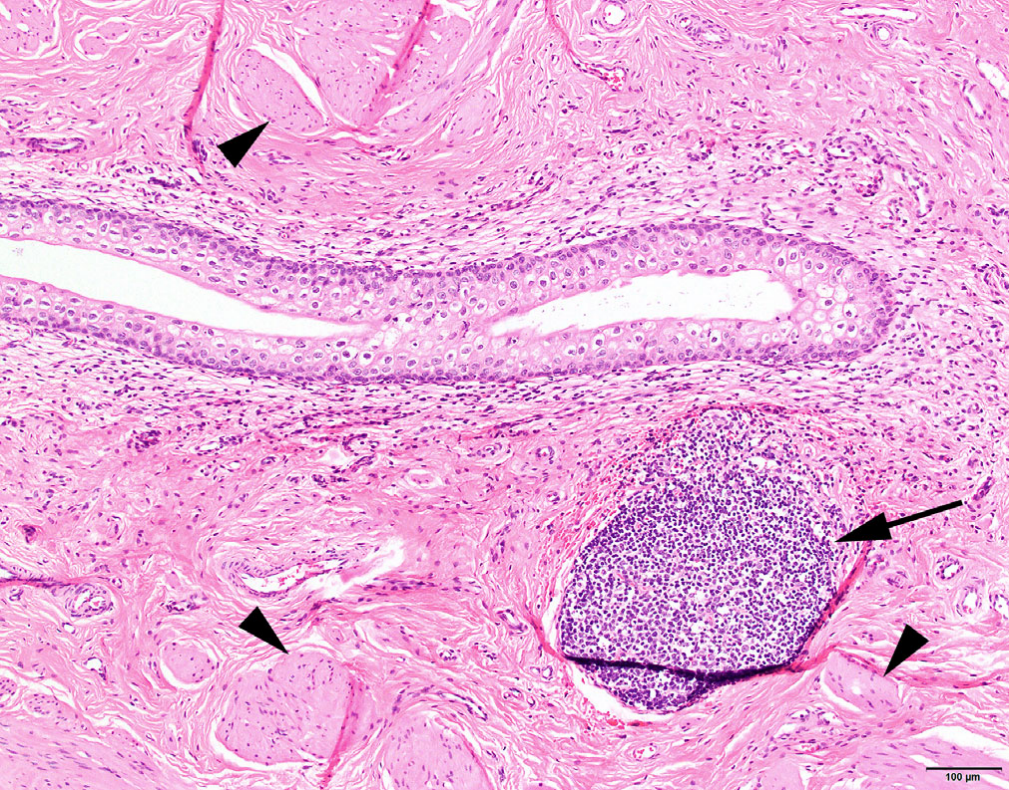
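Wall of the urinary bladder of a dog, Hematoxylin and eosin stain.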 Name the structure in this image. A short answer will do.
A: Tubular vesicourachal diverticulum.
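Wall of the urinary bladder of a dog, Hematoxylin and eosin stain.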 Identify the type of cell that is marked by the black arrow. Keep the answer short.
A: lymphocytes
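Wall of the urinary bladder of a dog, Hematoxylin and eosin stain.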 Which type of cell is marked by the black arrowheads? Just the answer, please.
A: smooth muscle cells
